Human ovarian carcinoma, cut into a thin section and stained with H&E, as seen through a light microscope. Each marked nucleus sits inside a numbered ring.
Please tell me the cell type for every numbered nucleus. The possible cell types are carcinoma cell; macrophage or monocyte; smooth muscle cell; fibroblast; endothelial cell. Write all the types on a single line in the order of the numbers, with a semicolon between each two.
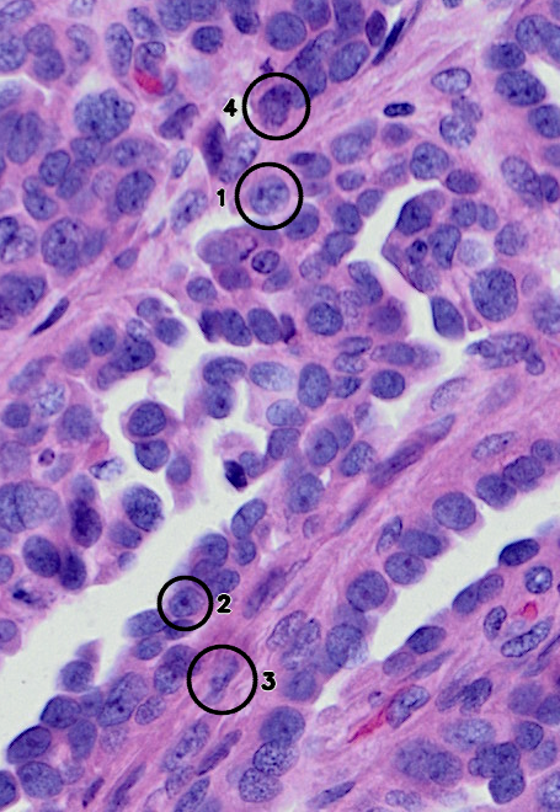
carcinoma cell; carcinoma cell; fibroblast; carcinoma cell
